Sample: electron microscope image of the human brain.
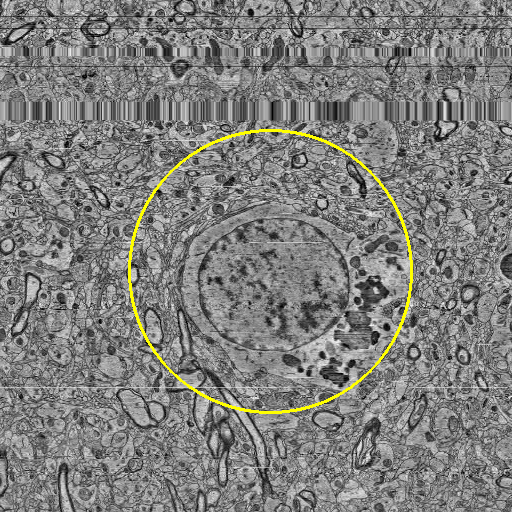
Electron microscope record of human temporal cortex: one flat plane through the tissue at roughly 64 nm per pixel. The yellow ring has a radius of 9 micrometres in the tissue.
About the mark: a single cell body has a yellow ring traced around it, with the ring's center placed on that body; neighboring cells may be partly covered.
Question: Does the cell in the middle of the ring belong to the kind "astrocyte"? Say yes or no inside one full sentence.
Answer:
Yes, the cell at the ring's center in this image belongs to that kind.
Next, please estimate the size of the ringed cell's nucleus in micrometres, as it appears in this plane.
The nucleus measures about 9 micrometers across in this plane.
